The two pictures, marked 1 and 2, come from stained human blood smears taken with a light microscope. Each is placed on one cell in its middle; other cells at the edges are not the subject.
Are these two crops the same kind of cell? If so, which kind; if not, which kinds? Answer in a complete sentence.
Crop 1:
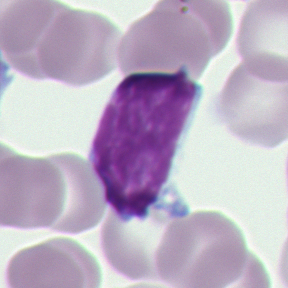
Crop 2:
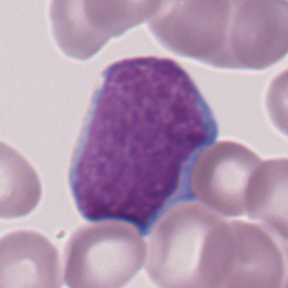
No, crop 1 corresponds to a typical lymphocyte, while crop 2 corresponds to a myeloblast.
